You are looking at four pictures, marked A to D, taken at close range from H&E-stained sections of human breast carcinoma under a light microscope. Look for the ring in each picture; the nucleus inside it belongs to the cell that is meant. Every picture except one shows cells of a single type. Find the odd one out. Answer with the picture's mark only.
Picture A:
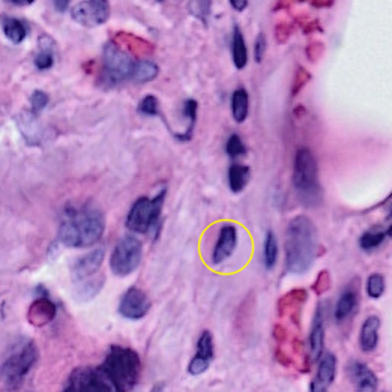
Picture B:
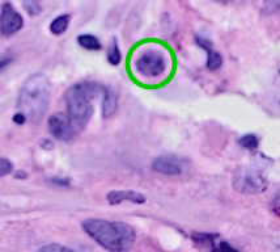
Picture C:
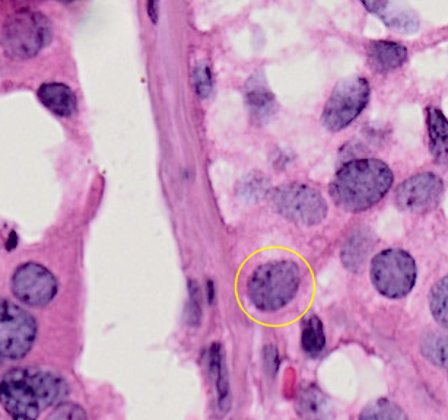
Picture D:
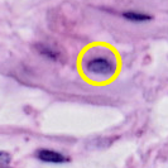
C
